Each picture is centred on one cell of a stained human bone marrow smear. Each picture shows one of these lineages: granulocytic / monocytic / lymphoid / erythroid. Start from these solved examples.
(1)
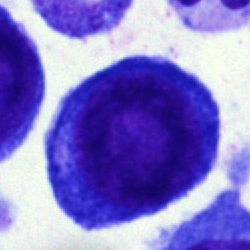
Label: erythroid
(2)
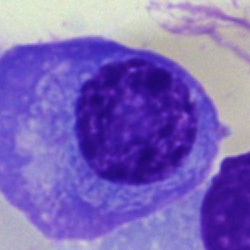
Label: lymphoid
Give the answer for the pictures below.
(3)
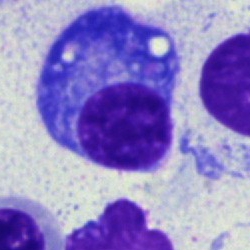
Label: lymphoid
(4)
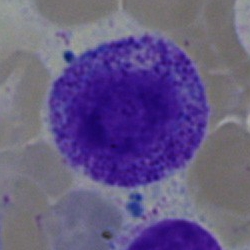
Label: granulocytic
